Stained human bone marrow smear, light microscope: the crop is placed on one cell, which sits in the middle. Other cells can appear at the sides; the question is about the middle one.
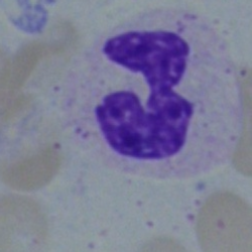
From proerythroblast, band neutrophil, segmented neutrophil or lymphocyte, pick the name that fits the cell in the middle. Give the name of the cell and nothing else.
segmented neutrophil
